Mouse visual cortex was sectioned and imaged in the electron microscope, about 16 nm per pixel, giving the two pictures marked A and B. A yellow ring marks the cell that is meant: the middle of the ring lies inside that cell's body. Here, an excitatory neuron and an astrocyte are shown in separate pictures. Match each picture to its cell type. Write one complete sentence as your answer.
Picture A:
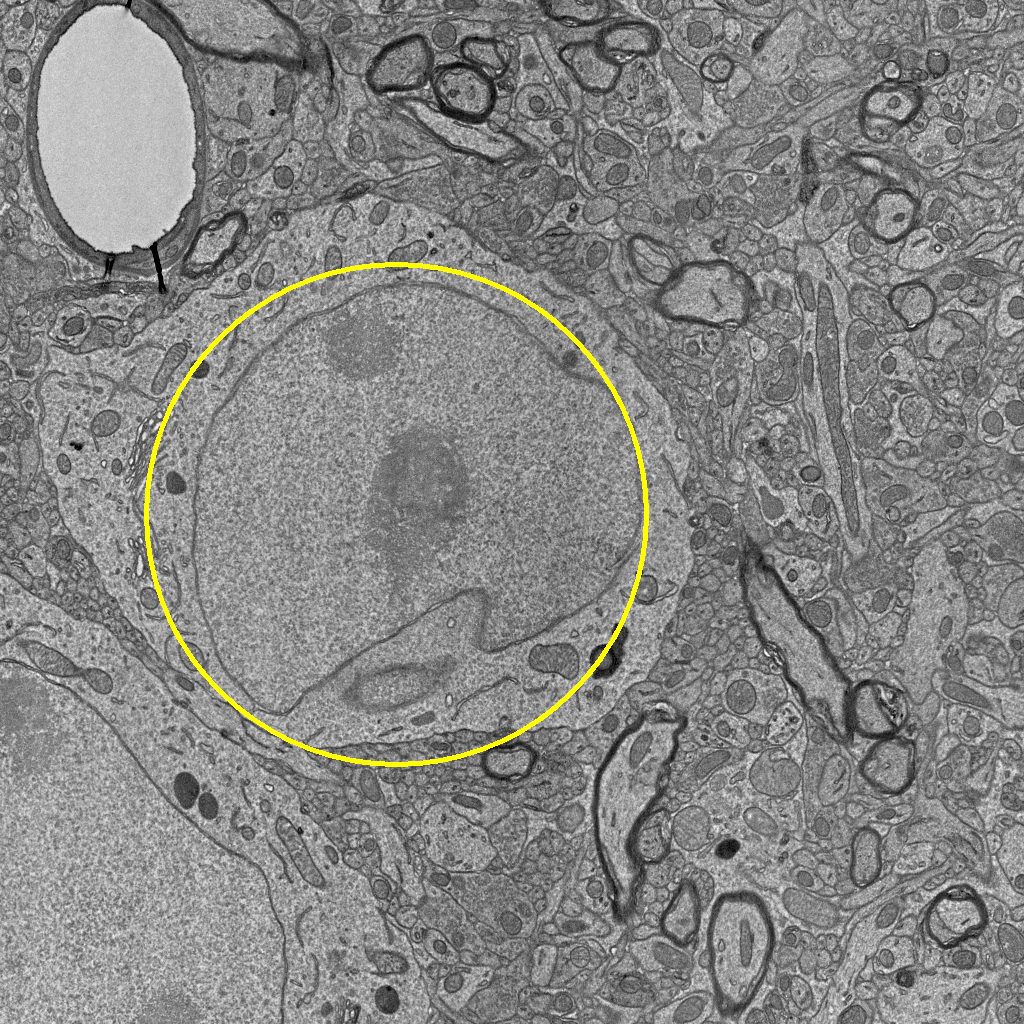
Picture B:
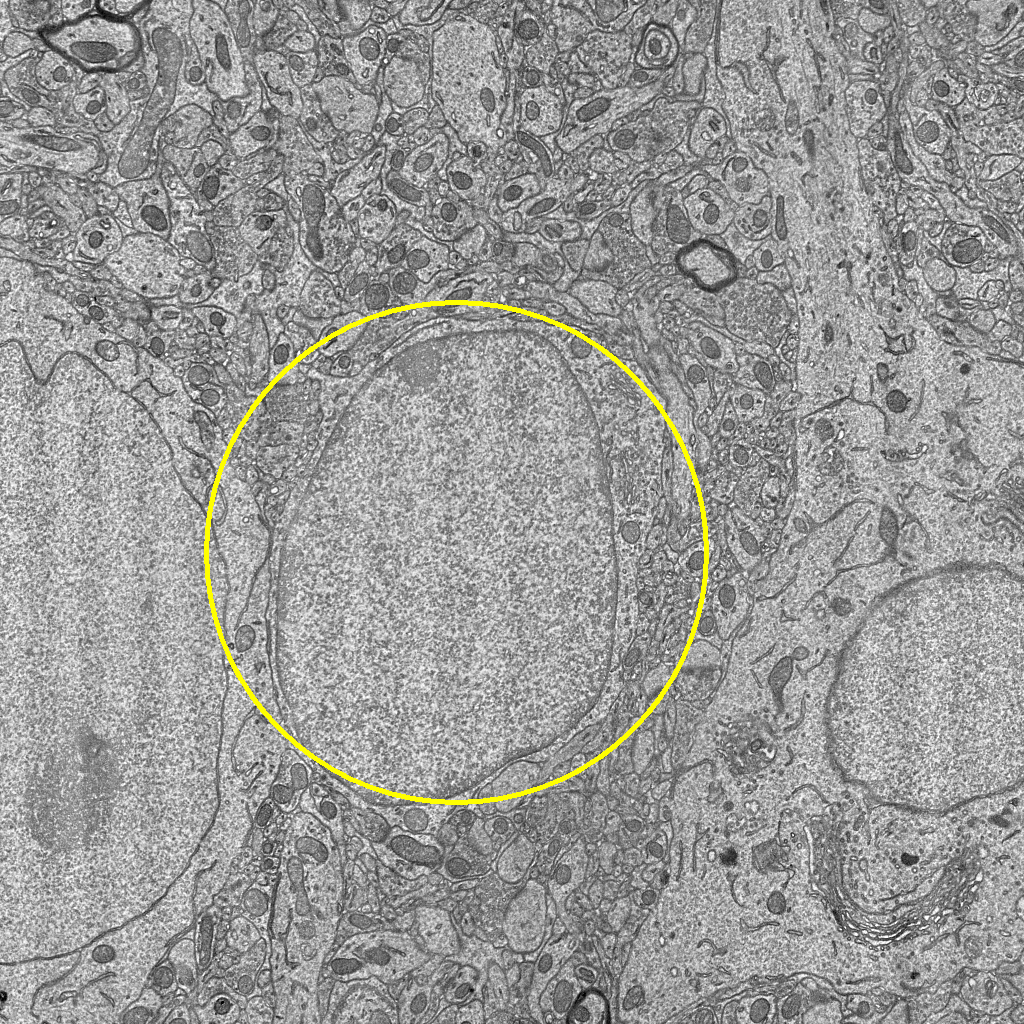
Picture B shows an astrocyte, while picture A shows an excitatory neuron.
